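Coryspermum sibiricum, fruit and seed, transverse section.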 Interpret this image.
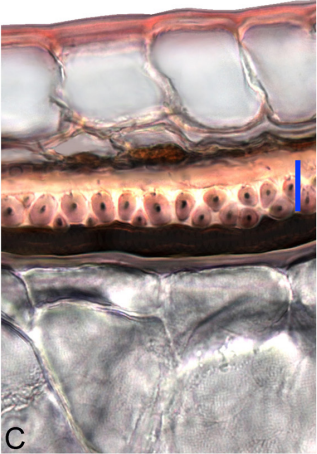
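At the top lies a row of large, thin-walled, clear cells with a thin reddish outer surface, then some flattened, compressed cells. The layers are sharply bounded and run parallel across the section.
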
